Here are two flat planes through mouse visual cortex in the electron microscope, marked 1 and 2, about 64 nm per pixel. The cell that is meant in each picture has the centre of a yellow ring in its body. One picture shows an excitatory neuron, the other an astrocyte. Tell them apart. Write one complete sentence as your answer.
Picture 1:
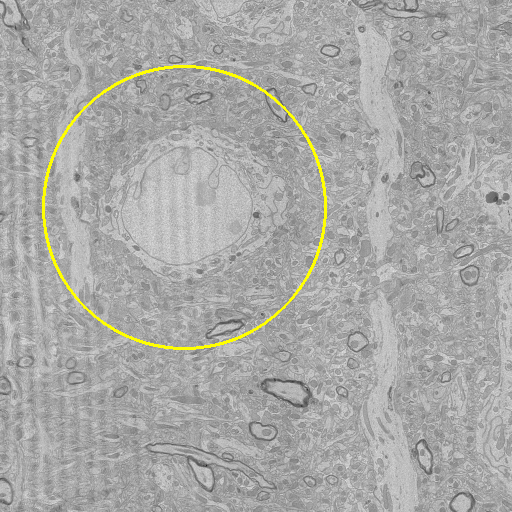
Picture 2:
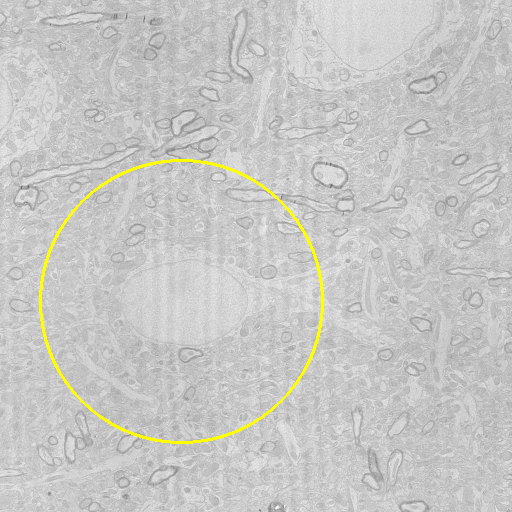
It is picture 1 that shows an excitatory neuron, and picture 2 that shows an astrocyte.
